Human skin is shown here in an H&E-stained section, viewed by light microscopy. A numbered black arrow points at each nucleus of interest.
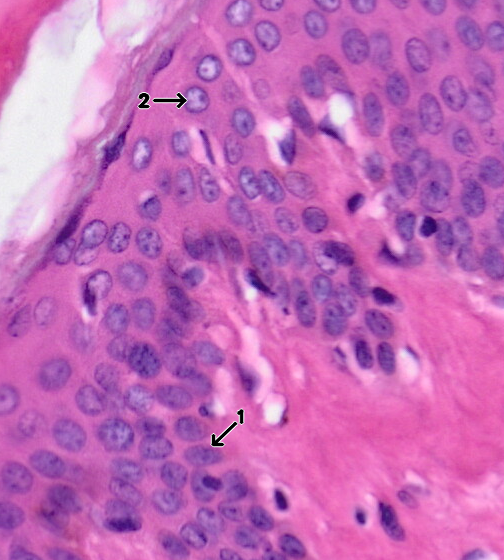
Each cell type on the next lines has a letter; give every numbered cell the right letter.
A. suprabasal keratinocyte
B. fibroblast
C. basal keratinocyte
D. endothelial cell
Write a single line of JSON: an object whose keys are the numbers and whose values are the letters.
{"1": "C", "2": "A"}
